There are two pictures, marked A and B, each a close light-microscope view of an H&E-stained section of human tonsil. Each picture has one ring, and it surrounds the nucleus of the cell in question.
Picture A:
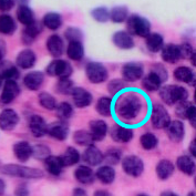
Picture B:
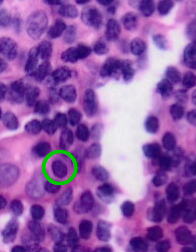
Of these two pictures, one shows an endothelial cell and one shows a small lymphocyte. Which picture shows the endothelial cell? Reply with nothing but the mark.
B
